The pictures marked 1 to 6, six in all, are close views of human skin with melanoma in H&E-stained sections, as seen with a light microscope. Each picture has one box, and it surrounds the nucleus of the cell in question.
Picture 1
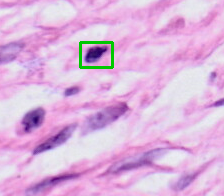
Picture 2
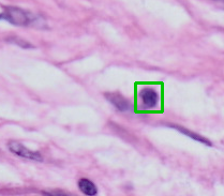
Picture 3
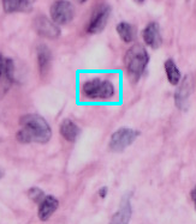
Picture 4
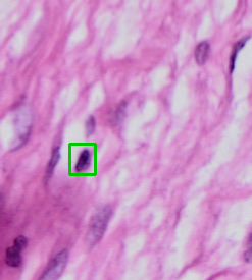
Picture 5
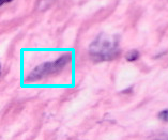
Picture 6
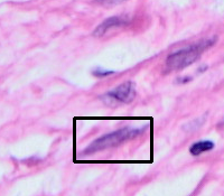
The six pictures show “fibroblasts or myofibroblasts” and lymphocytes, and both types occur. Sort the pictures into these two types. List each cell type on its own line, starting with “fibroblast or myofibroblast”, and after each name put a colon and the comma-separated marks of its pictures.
fibroblast or myofibroblast: 5, 6
lymphocyte: 1, 2, 3, 4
